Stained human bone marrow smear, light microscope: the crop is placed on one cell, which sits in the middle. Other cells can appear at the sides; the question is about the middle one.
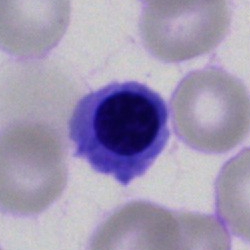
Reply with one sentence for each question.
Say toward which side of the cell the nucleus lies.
It is shifted toward the upper right of the cell.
